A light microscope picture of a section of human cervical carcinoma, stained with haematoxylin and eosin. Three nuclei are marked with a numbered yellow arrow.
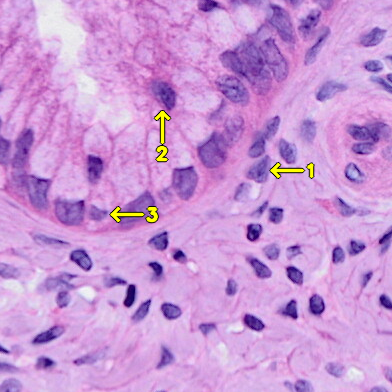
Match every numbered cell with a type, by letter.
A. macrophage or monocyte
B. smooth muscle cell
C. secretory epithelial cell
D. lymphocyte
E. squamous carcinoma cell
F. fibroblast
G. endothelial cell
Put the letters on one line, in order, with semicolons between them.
F; C; C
